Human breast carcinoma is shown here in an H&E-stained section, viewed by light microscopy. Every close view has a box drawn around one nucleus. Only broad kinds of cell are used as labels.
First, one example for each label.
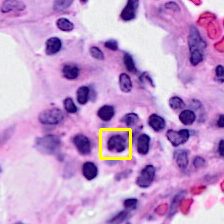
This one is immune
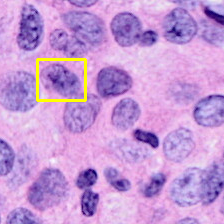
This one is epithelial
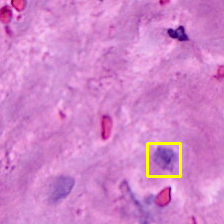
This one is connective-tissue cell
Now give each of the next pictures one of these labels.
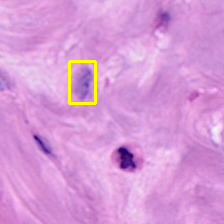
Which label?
connective-tissue cell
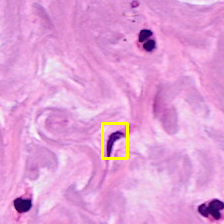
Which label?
connective-tissue cell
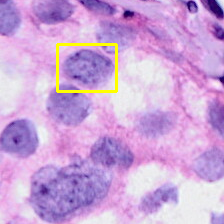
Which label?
epithelial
